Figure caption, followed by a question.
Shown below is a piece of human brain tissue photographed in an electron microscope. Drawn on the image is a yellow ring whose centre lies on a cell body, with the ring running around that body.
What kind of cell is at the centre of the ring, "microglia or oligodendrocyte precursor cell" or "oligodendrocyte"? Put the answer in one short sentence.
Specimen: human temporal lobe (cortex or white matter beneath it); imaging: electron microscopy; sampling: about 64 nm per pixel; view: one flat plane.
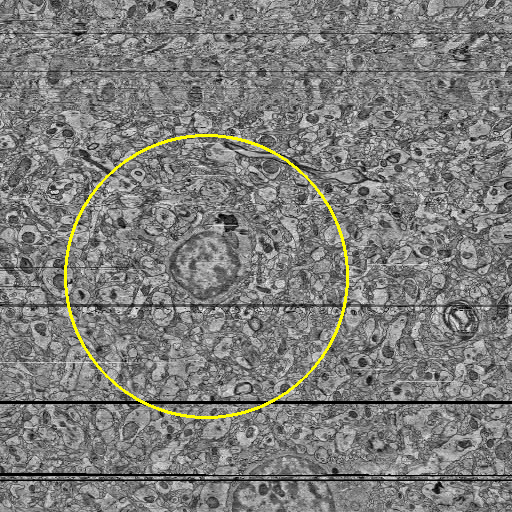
The ring marks the cell body of an oligodendrocyte.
